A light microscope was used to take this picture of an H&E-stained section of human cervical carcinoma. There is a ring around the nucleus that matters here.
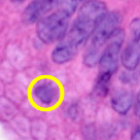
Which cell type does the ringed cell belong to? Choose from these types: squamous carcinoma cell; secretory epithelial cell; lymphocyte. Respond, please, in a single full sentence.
Students should answer that the ringed cell is a secretory epithelial cell.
